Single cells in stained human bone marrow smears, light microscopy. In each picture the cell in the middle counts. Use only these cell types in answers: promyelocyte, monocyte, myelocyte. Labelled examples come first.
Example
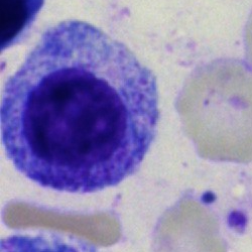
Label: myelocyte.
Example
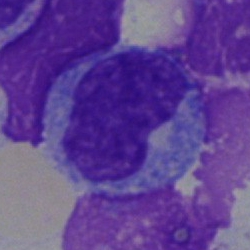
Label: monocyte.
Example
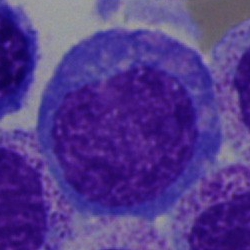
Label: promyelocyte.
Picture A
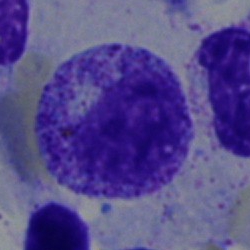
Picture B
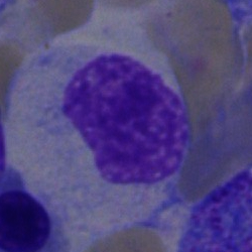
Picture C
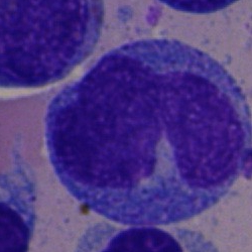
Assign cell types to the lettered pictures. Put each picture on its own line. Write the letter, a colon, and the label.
A: myelocyte.
B: myelocyte.
C: monocyte.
